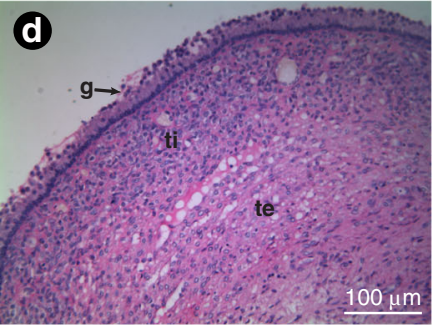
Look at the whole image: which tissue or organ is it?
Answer: Follicle wall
